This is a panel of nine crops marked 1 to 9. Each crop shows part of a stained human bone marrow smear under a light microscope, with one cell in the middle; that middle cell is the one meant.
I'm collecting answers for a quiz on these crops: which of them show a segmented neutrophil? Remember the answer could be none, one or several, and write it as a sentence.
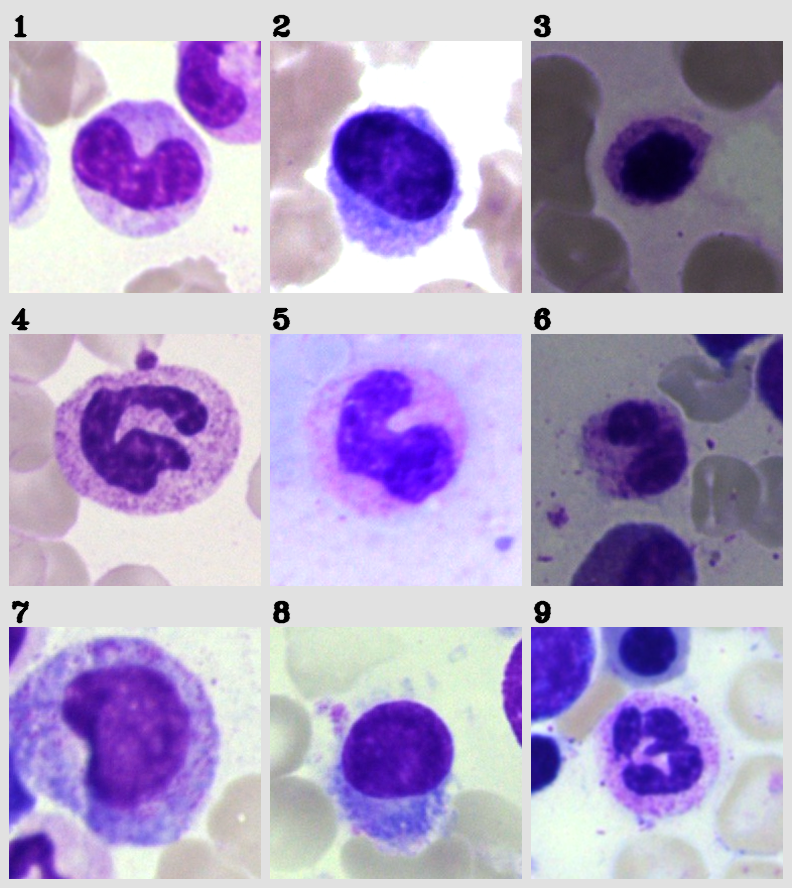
Of the crops in this set, 4, 6 and 9 show segmented neutrophils.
